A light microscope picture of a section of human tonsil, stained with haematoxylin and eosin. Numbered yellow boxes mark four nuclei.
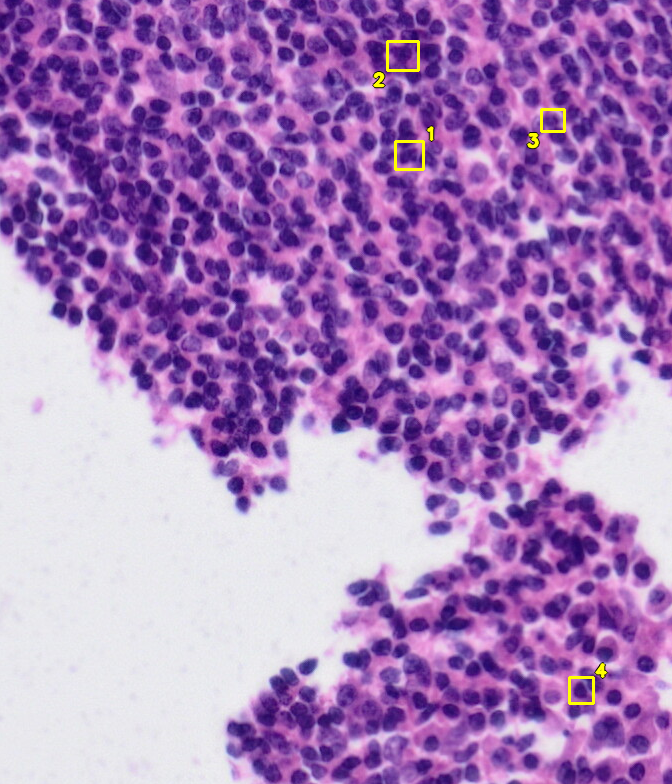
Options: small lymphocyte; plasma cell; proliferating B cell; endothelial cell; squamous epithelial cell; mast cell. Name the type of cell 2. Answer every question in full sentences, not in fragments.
In the marked set, the cell given number 2 is a small lymphocyte.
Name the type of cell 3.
The nucleus labeled 3 belongs to a small lymphocyte.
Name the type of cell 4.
The cell tagged with 4 in this tissue section is a plasma cell.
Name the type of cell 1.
The cell that is numbered 1 is a small lymphocyte.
